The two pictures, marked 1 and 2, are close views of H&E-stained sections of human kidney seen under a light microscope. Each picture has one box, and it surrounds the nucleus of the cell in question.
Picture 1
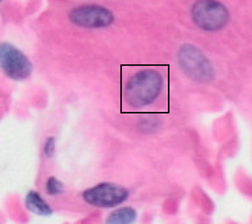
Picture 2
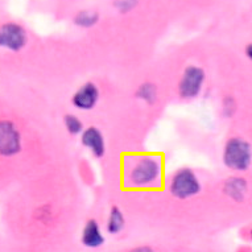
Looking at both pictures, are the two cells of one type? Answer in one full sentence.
No. Picture 1 shows a proximal tubule cell, but picture 2 shows a “loop of Henle or distal tubule cell”.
